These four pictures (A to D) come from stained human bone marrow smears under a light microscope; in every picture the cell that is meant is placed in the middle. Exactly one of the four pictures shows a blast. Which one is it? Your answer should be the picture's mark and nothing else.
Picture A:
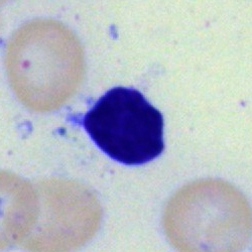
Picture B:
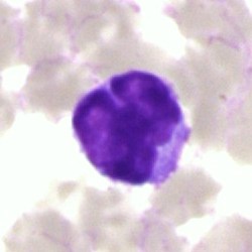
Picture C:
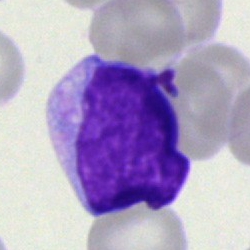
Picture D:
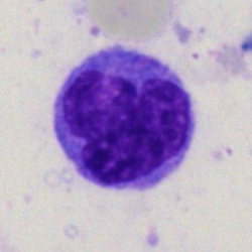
C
